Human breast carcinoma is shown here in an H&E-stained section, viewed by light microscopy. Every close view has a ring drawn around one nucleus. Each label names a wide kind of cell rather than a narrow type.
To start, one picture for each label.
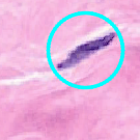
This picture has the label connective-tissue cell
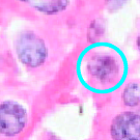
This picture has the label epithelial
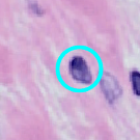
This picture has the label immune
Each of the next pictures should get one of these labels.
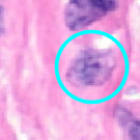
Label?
connective-tissue cell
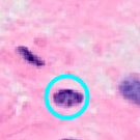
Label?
immune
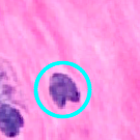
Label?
immune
